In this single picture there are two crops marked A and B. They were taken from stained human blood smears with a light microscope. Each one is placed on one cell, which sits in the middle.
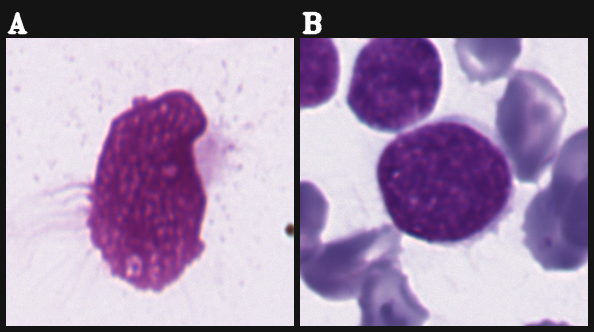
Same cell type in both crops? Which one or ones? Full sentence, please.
No, crop A displays a smudge cell and crop B displays a myeloblast.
